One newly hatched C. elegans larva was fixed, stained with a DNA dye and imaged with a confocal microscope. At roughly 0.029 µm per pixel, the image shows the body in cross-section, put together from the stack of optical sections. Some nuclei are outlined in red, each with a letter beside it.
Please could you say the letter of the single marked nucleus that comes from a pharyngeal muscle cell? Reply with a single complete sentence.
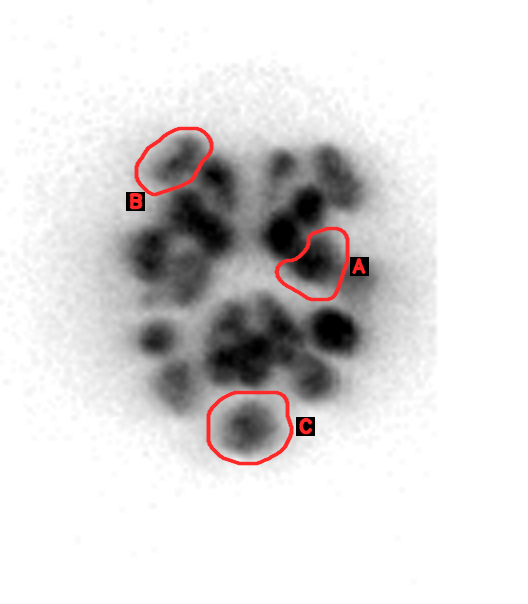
The nucleus of a pharyngeal muscle cell is A.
